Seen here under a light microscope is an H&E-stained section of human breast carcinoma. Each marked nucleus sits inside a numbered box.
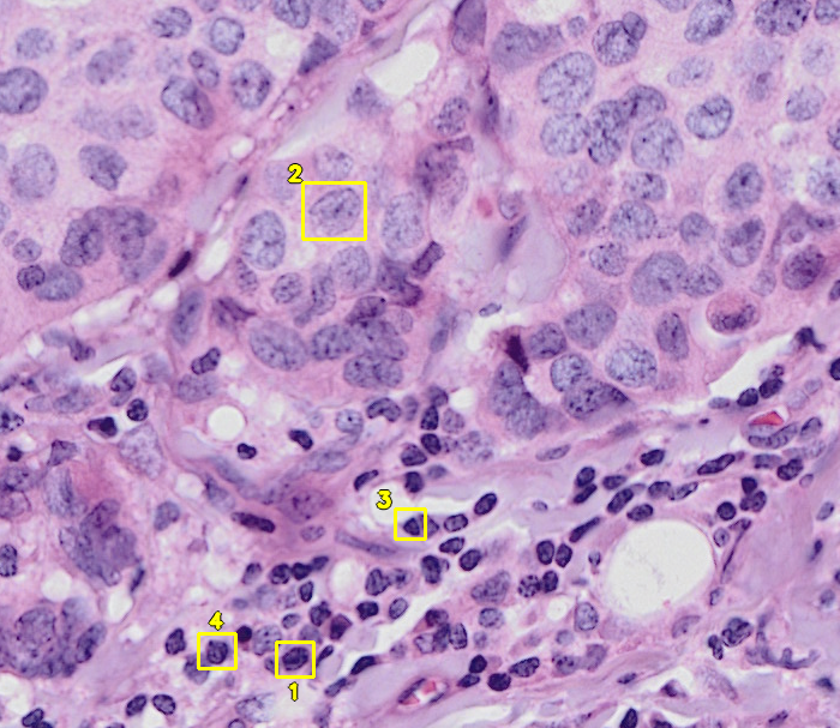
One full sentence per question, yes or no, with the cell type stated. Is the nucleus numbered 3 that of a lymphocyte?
Yes, the numbered nucleus 3 is that of a lymphocyte.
